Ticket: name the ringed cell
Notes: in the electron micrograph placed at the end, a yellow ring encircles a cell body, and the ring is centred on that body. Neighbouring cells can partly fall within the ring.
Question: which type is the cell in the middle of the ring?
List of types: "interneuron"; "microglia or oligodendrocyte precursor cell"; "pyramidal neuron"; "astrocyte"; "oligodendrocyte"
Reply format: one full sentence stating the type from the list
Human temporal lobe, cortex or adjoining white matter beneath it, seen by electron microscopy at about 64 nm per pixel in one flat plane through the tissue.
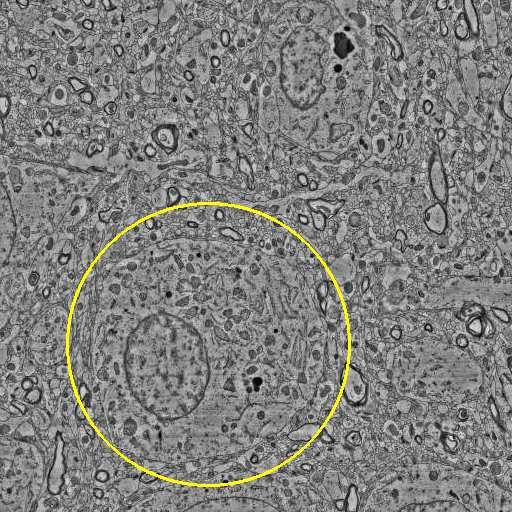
The cell sitting at the centre of the yellow ring is an interneuron.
